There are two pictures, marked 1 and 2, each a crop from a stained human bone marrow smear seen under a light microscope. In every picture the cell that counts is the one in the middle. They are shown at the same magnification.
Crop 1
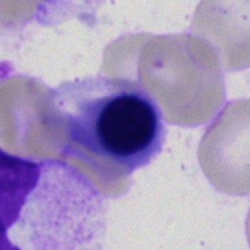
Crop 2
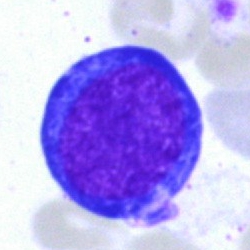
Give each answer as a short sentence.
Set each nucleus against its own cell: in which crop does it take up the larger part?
Of the two, the nucleus in crop 2 makes up the greater part of its cell.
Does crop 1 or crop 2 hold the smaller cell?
Smaller is the cell in crop 1, and the other is about 4 times as large in area.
